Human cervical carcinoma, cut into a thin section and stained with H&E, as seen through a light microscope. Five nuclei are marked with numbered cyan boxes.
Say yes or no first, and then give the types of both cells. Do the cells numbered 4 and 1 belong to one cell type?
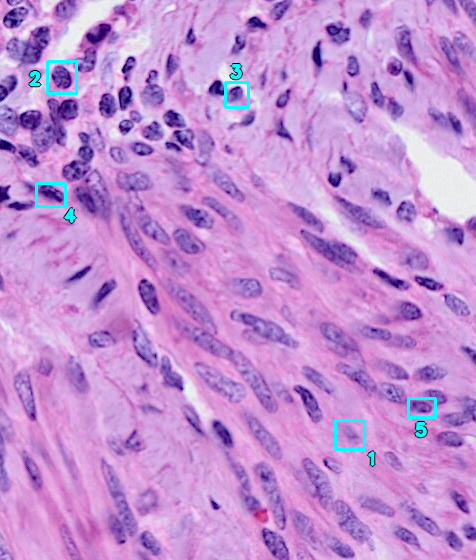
No, cell 4 is a lymphocyte and cell 1 is a smooth muscle cell.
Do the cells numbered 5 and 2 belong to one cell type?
No, cell 5 is a smooth muscle cell and cell 2 is a lymphocyte.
